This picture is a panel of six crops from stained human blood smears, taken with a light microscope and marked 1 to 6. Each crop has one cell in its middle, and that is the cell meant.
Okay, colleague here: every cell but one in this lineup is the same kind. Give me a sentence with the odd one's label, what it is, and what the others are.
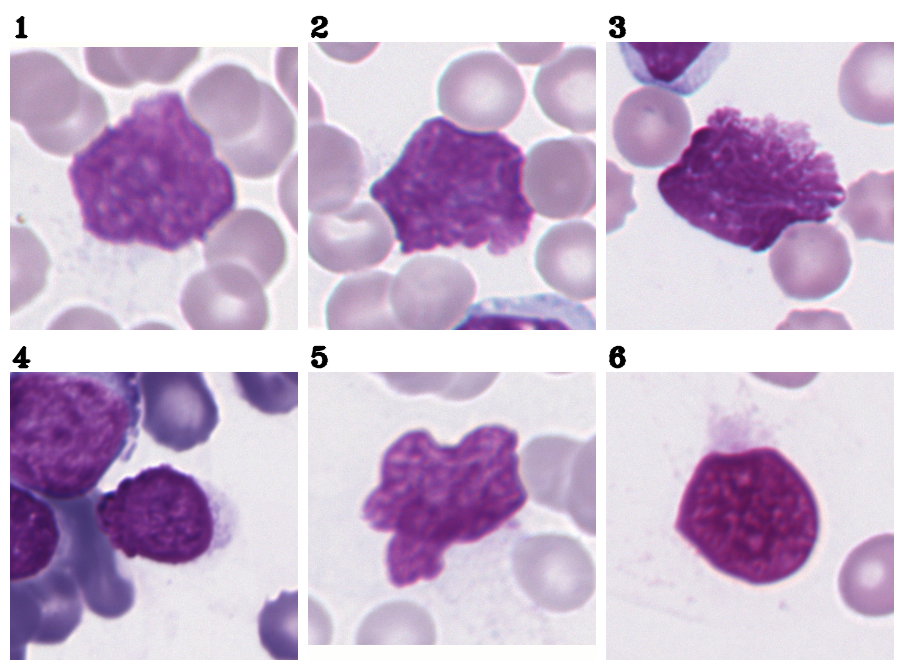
Crop 4 is different, showing a myeloblast, whereas all the others show smudge cells.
